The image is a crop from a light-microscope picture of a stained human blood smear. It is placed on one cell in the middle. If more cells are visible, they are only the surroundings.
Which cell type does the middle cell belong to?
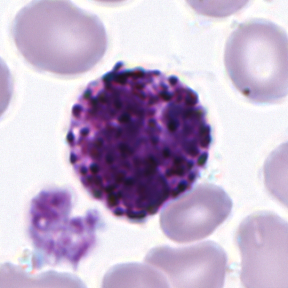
basophil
